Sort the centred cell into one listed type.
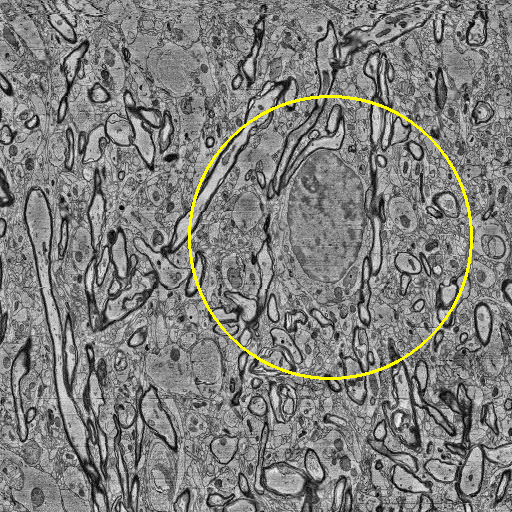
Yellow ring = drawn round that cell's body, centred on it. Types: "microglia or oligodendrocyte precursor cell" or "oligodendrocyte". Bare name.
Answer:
oligodendrocyte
